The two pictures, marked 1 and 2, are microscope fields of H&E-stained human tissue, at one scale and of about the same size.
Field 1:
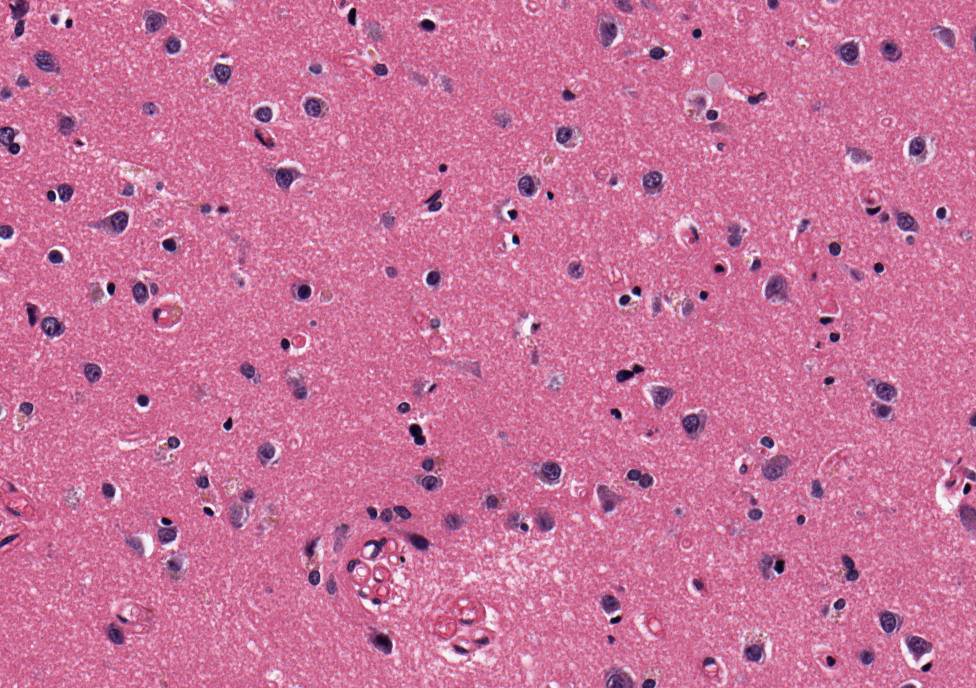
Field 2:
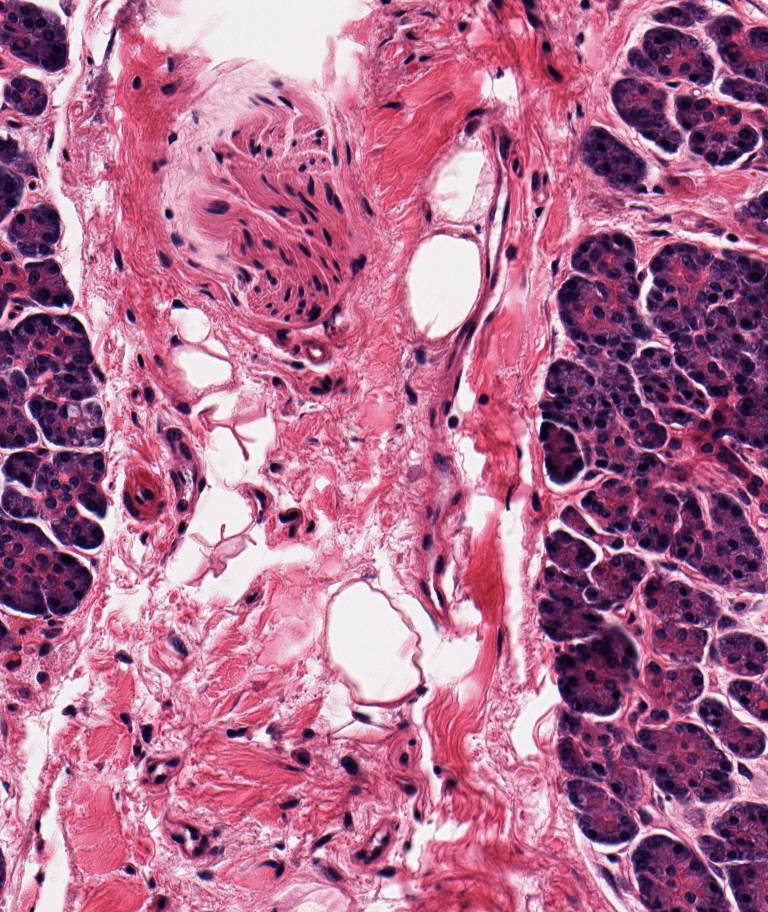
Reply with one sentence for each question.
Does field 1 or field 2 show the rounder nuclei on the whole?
Rounder nuclei lie in field 1.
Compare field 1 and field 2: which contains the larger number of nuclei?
There are more nuclei in field 2.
